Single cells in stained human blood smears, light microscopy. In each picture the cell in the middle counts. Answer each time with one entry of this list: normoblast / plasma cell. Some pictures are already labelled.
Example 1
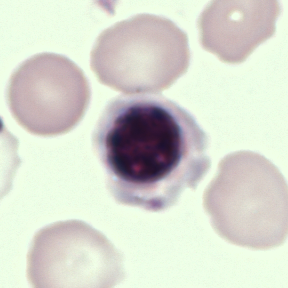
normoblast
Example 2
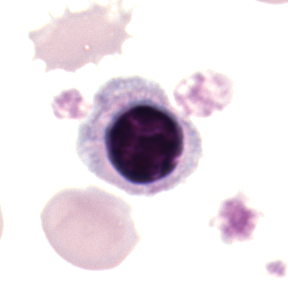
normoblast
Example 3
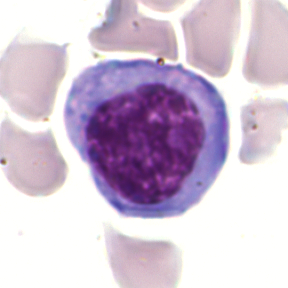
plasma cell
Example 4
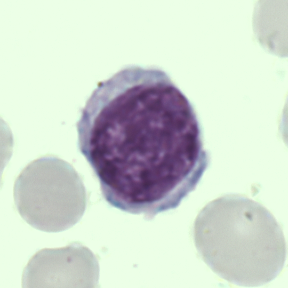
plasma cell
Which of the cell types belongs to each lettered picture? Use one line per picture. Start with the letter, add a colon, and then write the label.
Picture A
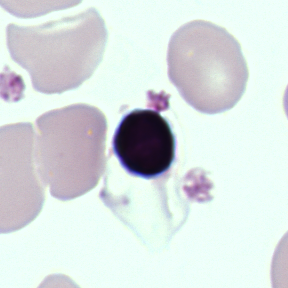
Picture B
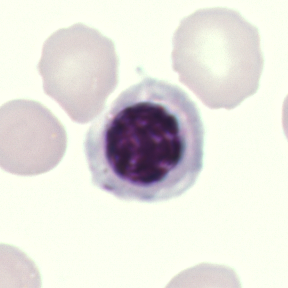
A: normoblast
B: normoblast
